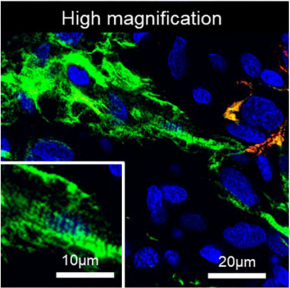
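Elongated, spindle to branching cells fill with green signal, running obliquely across the field between oval blue nuclei. In the enlarged inset the green cytoplasm shows fine, regular transverse bands, the striations of muscle. A few small spots of red and yellow appear near the right edge among clustered nuclei. Many nuclei lie in dark areas without green, belonging to other cells of the tissue.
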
